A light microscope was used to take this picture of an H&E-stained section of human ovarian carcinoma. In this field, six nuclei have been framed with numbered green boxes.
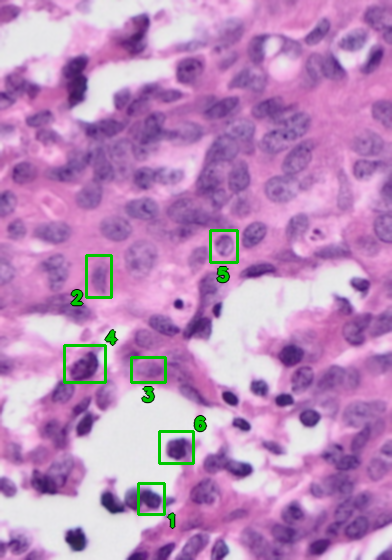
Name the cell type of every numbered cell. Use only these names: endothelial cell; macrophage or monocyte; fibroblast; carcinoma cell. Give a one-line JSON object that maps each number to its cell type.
{"1": "carcinoma cell", "2": "endothelial cell", "3": "carcinoma cell", "4": "carcinoma cell", "5": "macrophage or monocyte", "6": "carcinoma cell"}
